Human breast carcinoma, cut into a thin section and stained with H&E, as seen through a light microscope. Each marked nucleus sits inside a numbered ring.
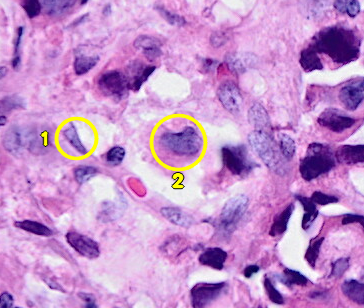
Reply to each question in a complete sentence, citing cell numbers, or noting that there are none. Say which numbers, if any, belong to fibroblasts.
Exactly one numbered cell is a fibroblast, and that cell is number 1.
